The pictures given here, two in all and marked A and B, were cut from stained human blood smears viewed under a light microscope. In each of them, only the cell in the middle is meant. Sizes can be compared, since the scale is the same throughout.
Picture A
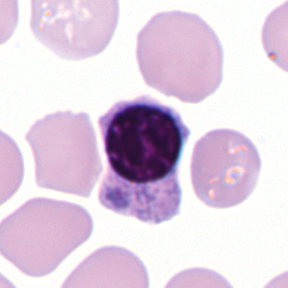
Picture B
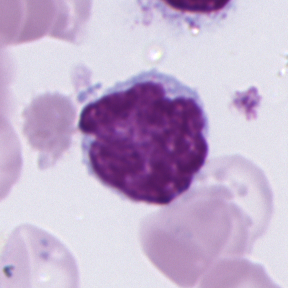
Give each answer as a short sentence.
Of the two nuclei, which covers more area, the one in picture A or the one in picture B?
Picture B shows the larger nucleus; it covers about 2.5 times the area of the nucleus in picture A.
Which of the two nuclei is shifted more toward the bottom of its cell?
Seen within its cell, the nucleus in picture B lies further toward the bottom.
